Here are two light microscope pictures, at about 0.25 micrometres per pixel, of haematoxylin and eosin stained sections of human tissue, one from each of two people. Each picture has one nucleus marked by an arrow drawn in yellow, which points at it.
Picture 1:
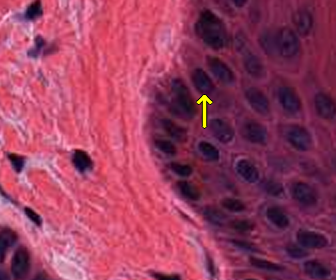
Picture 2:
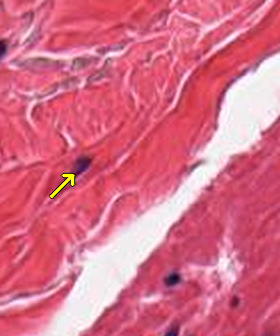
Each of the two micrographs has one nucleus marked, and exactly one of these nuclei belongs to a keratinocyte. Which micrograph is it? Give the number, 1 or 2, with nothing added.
1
